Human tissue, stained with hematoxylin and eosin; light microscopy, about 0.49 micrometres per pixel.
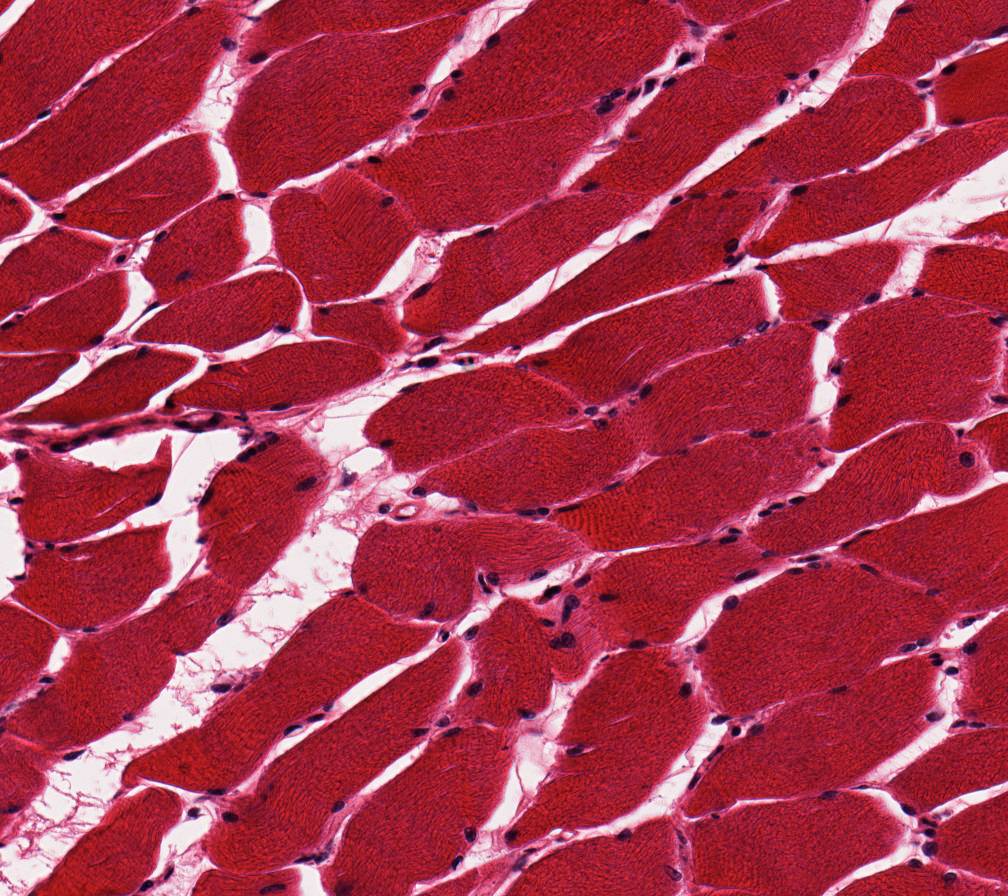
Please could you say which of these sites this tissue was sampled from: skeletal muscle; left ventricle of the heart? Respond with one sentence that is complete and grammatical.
The tissue seen in this section was sampled from the skeletal muscle.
